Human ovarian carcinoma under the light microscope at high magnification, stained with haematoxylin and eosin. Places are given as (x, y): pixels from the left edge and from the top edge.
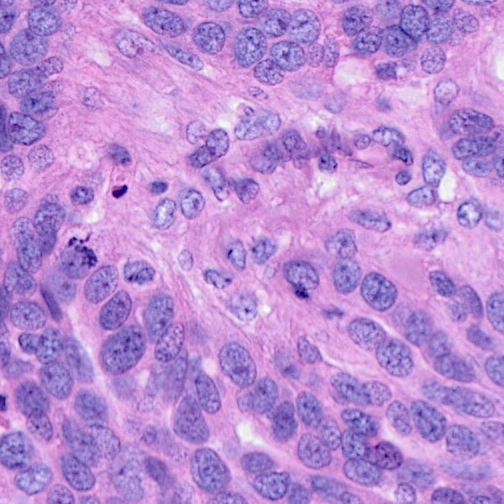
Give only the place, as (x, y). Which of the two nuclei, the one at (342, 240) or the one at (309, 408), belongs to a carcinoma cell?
(309, 408)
